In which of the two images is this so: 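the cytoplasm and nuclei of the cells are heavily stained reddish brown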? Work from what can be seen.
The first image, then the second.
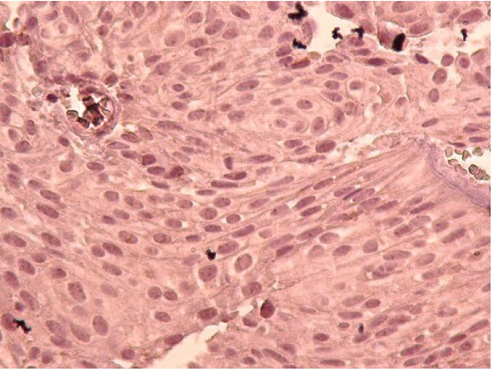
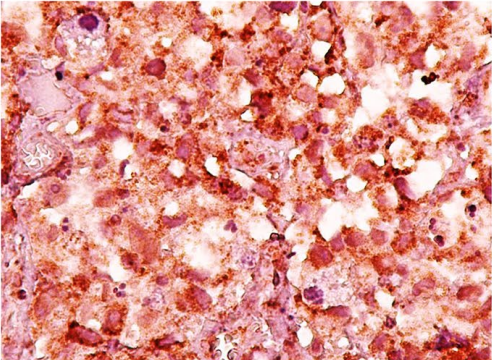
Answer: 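Second image: most cells are filled with dense granular reddish-brown deposits.
The second image.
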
